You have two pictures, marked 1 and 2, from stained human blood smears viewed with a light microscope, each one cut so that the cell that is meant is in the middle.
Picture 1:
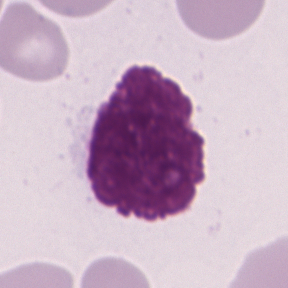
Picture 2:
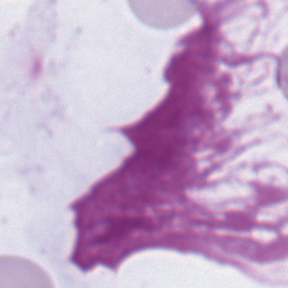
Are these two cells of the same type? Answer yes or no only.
yes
